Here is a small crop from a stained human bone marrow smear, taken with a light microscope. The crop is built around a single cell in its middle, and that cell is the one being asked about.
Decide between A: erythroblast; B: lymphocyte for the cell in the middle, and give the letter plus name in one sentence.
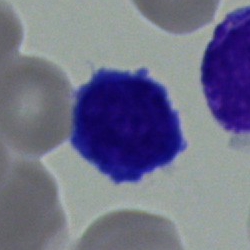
Option B, which names the central cell as a lymphocyte, is correct.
